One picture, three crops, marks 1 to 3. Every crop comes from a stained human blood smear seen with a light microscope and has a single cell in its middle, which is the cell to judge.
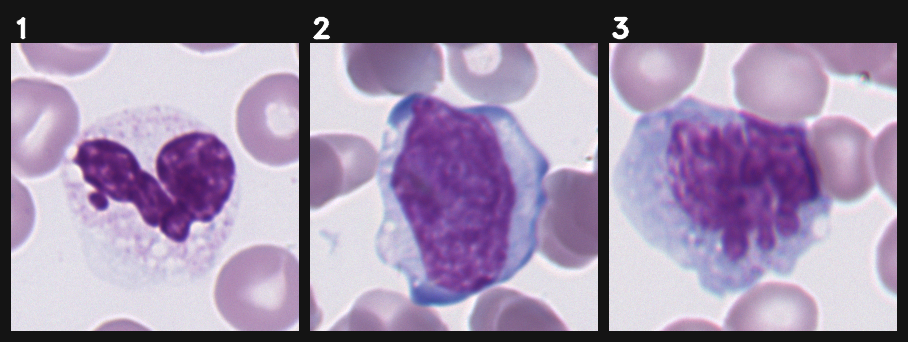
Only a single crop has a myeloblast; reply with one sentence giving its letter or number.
Among the crops given, only crop 2 shows a myeloblast.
